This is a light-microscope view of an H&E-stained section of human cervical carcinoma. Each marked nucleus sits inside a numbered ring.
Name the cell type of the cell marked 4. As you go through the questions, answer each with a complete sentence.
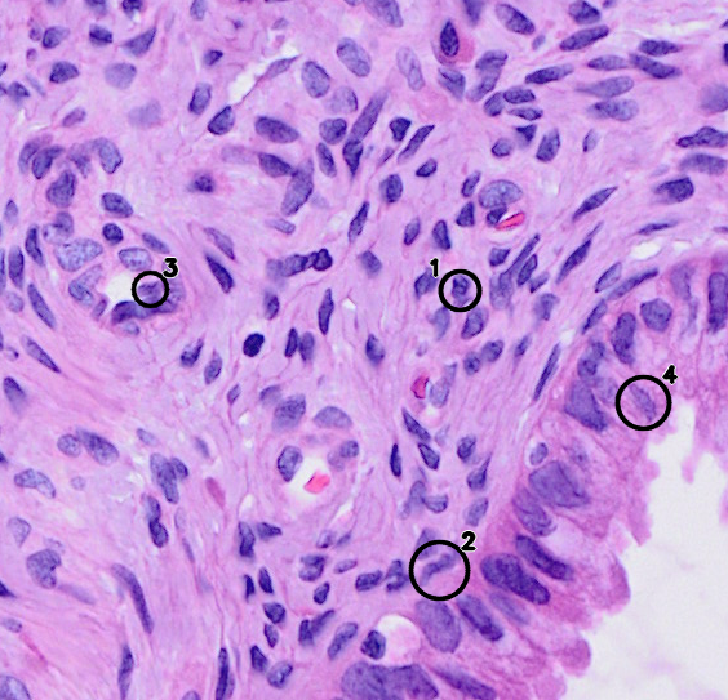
The label 4 in this section denotes a secretory epithelial cell.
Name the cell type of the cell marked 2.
Denoted by the label 2 in the section is a fibroblast.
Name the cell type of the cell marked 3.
The one labeled 3 is an endothelial cell, to put it simply.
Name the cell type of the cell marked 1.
The cell identified by number 1 is a fibroblast.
